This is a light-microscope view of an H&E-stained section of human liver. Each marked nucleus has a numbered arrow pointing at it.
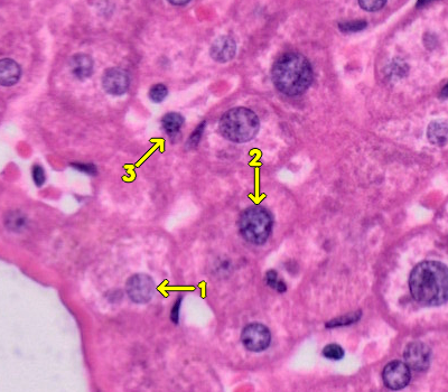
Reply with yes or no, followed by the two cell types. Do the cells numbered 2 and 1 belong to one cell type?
Yes, the two cells, 2 and 1, are both hepatocytes.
